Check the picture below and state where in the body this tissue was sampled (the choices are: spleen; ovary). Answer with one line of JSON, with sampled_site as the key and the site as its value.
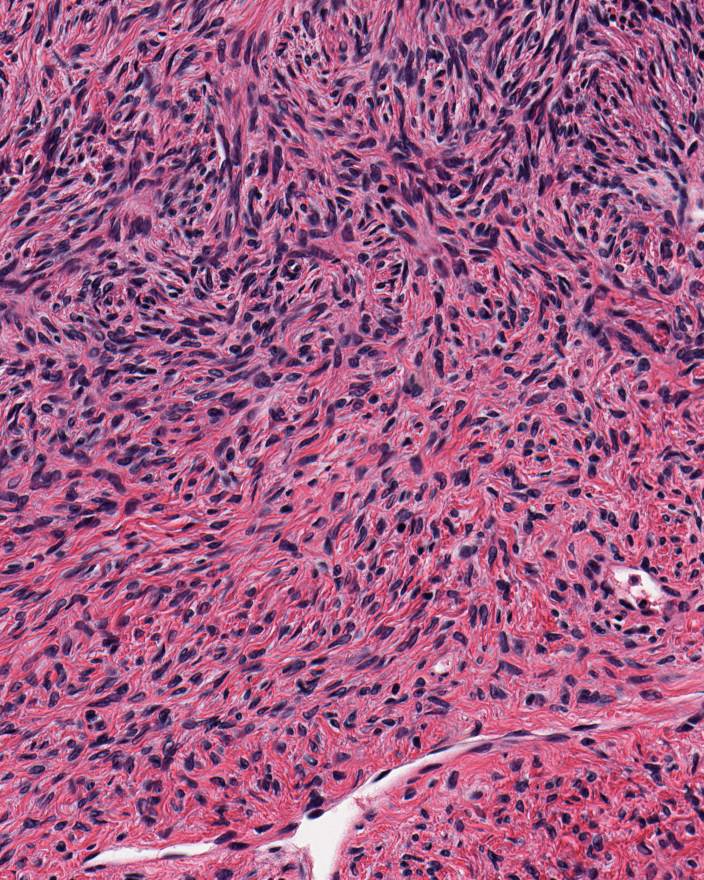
{"sampled_site": "ovary"}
